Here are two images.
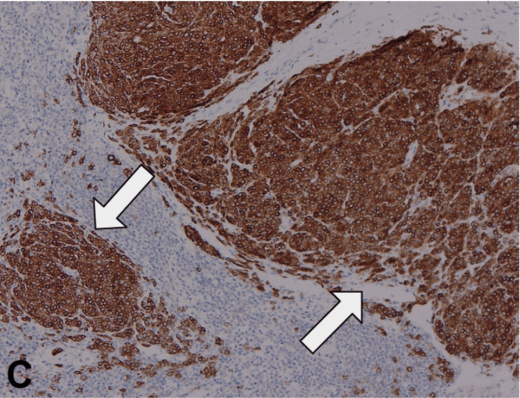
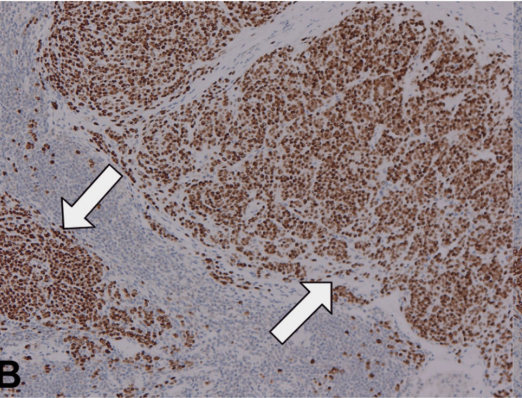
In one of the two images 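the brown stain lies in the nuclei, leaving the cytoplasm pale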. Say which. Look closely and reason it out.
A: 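The second image. First image: the nests are filled with diffuse brown staining across the cytoplasm. Second image: the nests show discrete brown dots at the nuclei with paler cytoplasm between them.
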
